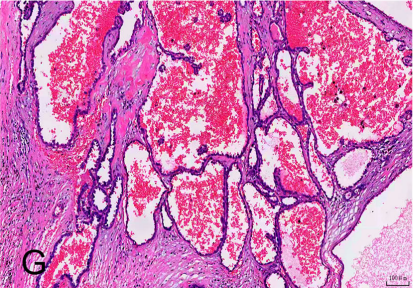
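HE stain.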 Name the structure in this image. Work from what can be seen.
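Large spaces are packed with red blood cells. Thin septa lined by a single cell layer separate the spaces.
Conclusion: Cystic structures containing copious bloody material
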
